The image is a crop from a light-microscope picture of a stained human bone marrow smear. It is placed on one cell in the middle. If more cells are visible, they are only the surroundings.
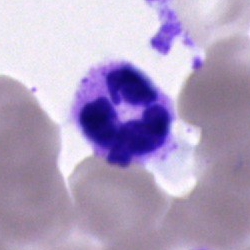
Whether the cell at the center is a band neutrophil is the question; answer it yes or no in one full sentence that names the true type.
No, the cell at the centre of the crop corresponds to a segmented neutrophil, not a band neutrophil.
